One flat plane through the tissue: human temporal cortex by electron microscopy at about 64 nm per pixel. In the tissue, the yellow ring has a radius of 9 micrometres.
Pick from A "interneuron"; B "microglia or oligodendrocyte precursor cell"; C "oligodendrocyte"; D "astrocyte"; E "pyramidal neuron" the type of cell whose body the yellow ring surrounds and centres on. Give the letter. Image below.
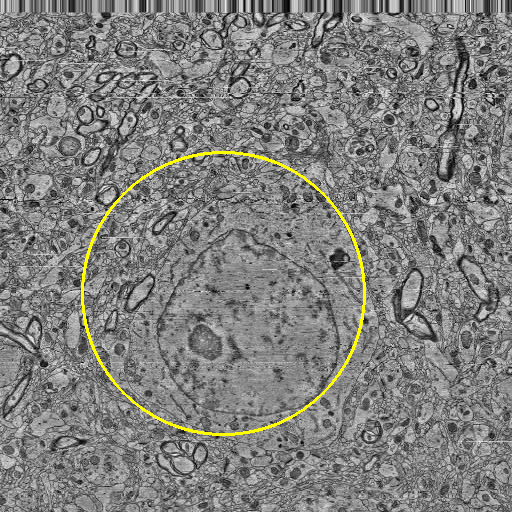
E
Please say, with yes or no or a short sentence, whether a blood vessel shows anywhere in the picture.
No, the image shows no blood vessel.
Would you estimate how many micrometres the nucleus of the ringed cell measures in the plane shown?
In this plane the ringed cell's nucleus is roughly 12 micrometres across.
